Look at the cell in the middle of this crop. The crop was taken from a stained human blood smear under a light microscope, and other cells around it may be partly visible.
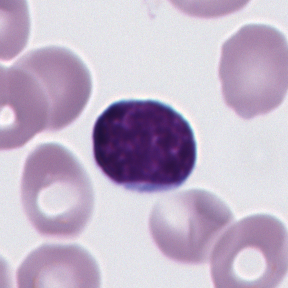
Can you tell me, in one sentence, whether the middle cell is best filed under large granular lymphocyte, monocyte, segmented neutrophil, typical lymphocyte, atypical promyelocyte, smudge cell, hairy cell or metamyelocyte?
In short, the cell at the center is a typical lymphocyte.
